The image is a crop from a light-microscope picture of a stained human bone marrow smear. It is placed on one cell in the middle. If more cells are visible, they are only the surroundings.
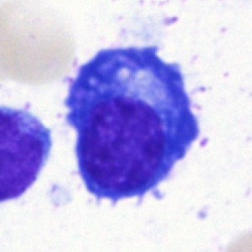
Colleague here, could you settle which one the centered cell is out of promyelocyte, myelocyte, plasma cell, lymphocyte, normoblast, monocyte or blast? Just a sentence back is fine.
Standing at the centre of this crop is a plasma cell.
